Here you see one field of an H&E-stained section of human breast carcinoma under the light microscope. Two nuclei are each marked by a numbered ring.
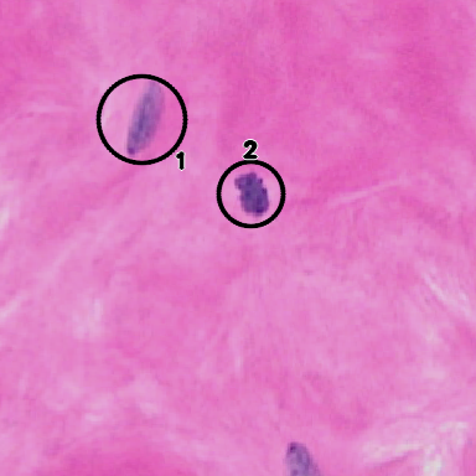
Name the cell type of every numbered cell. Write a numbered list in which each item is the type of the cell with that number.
1. fibroblast
2. lymphocyte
